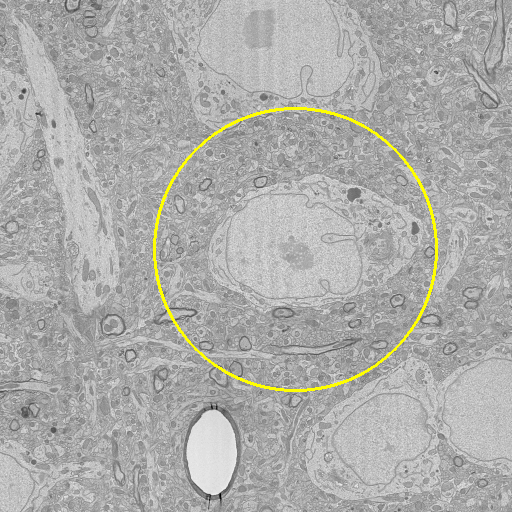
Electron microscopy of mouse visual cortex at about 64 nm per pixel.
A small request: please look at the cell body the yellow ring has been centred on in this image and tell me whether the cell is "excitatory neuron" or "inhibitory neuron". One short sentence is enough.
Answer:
The cell marked by the ring is an inhibitory neuron.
